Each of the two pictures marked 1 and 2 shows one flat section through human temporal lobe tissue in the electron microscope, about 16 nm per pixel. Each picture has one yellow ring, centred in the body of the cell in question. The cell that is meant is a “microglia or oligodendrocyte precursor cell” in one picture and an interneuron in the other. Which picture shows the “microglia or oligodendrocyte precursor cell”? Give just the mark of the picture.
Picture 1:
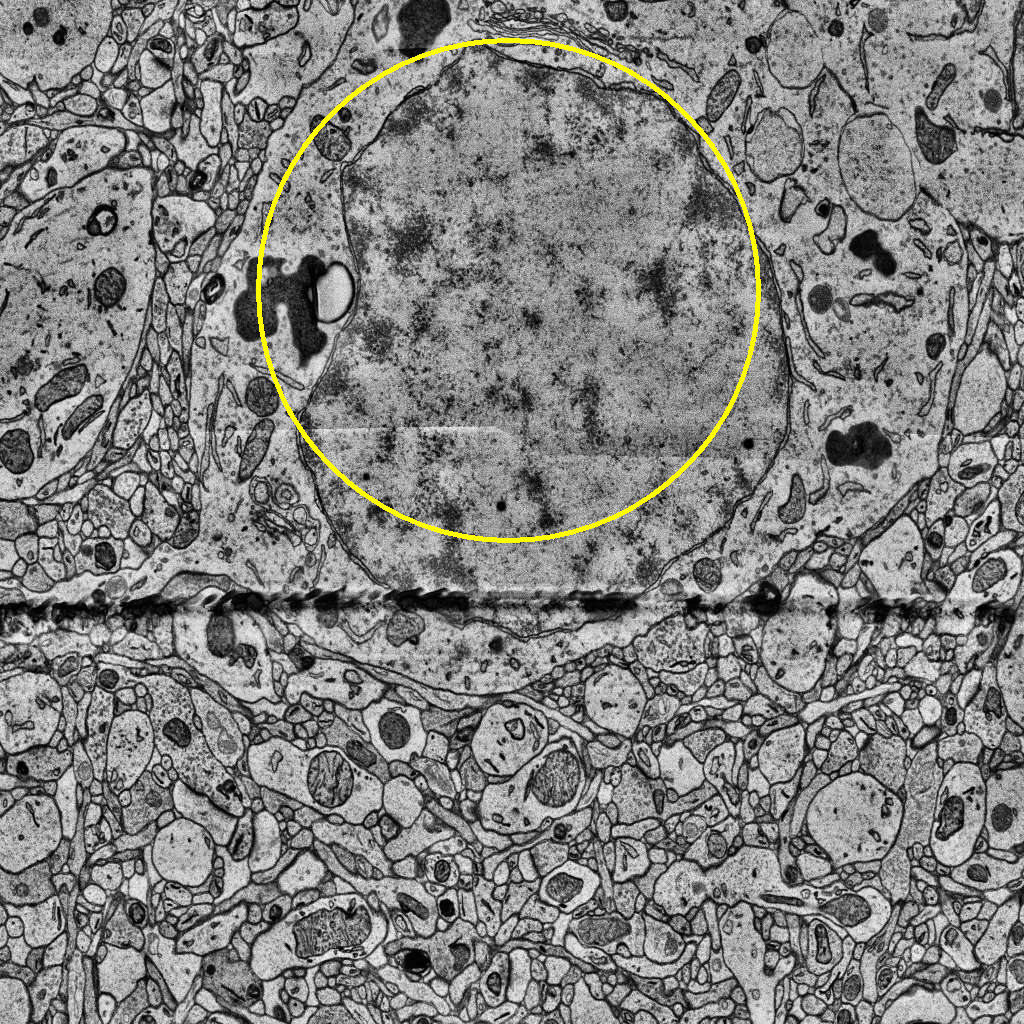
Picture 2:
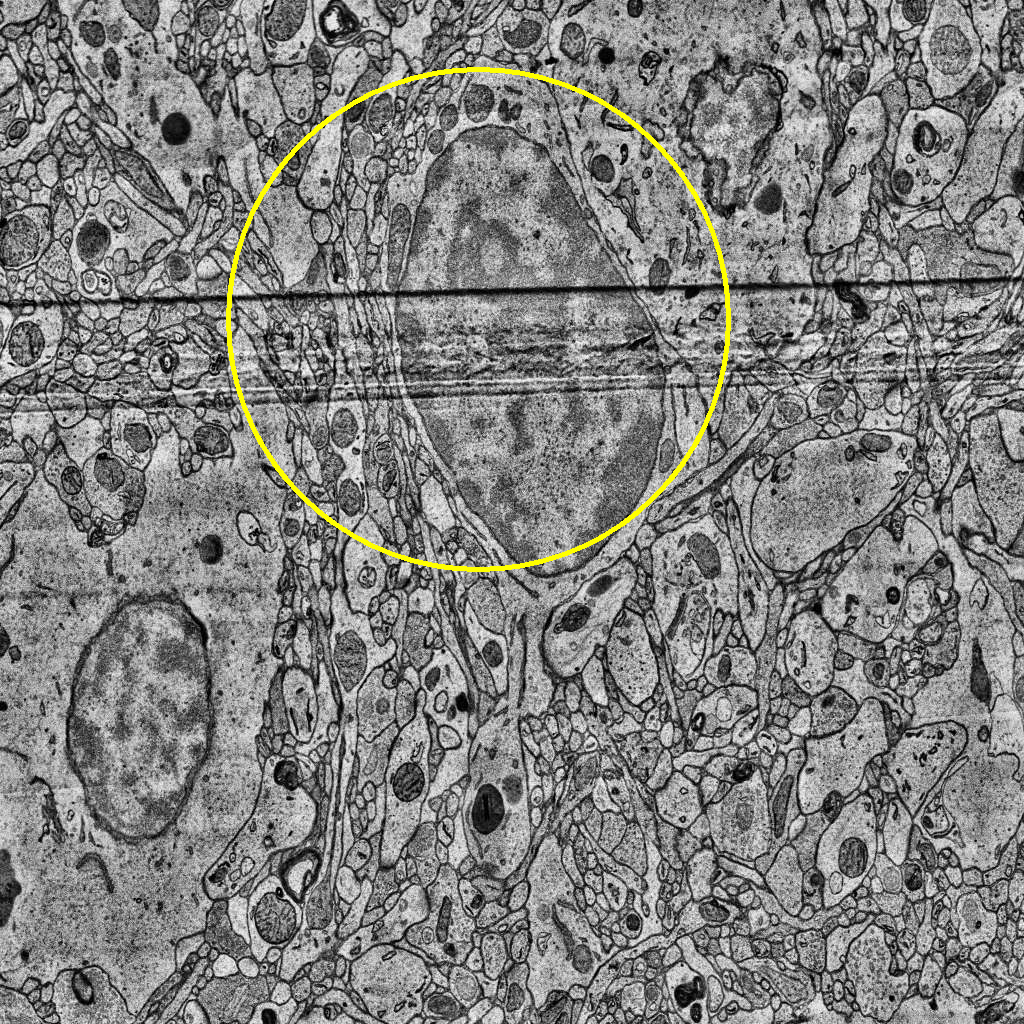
2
